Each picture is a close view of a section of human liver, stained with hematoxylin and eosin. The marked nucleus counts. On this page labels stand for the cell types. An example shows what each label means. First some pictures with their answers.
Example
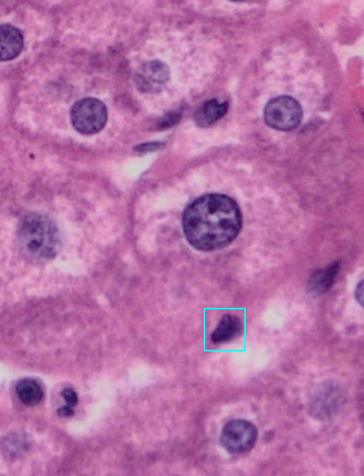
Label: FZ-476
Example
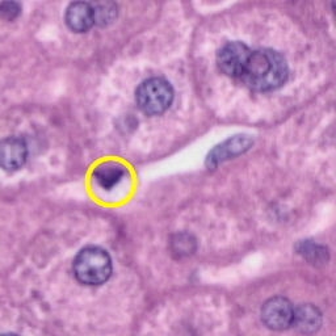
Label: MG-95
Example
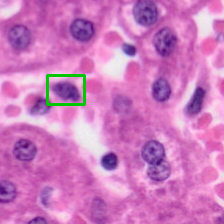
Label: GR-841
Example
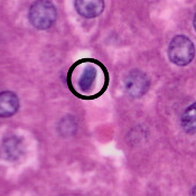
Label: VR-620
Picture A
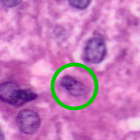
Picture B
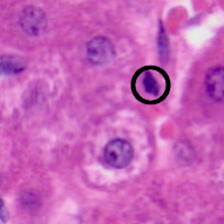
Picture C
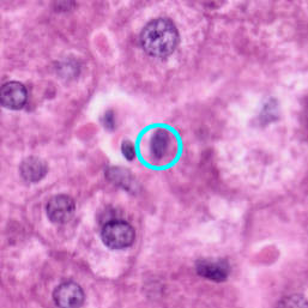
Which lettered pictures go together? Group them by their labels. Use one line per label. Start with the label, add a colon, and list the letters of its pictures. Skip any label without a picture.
FZ-476: B, C
GR-841: A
